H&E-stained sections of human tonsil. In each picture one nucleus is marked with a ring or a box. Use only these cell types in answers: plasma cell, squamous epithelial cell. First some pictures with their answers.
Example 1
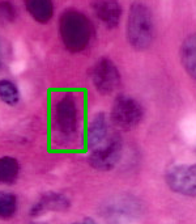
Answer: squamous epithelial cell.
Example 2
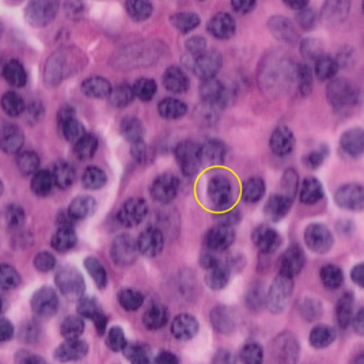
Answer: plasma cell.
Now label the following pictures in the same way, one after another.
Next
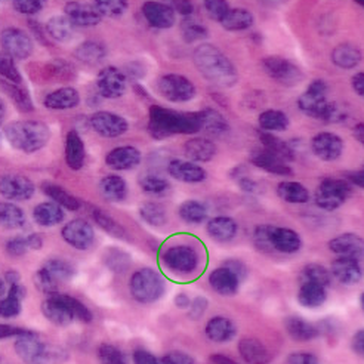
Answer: plasma cell.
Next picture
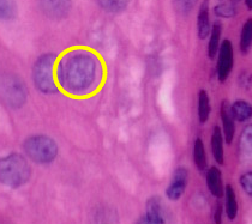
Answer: squamous epithelial cell.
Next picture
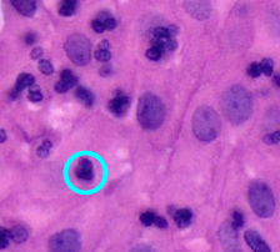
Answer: squamous epithelial cell.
